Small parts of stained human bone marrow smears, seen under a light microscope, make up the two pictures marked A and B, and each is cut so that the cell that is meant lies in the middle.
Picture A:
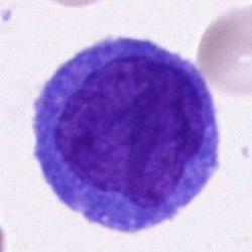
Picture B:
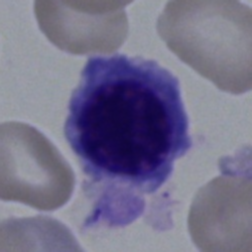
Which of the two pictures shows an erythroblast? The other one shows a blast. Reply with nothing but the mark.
B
